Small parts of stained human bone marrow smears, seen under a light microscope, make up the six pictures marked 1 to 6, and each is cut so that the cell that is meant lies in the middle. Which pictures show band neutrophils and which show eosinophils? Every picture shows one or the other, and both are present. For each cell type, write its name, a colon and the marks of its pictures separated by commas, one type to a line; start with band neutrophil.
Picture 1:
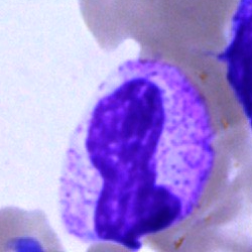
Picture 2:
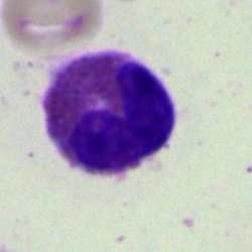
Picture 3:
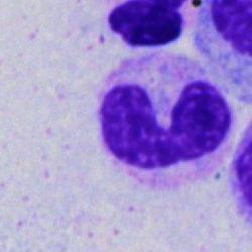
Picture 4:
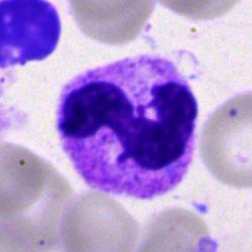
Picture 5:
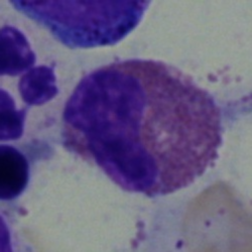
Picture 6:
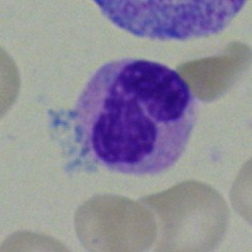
band neutrophil: 1, 3, 4, 6
eosinophil: 2, 5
